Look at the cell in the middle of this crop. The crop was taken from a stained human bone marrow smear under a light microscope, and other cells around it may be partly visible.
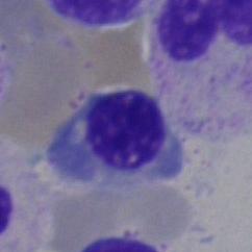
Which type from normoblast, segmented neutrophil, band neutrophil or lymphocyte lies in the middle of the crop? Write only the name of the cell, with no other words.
normoblast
